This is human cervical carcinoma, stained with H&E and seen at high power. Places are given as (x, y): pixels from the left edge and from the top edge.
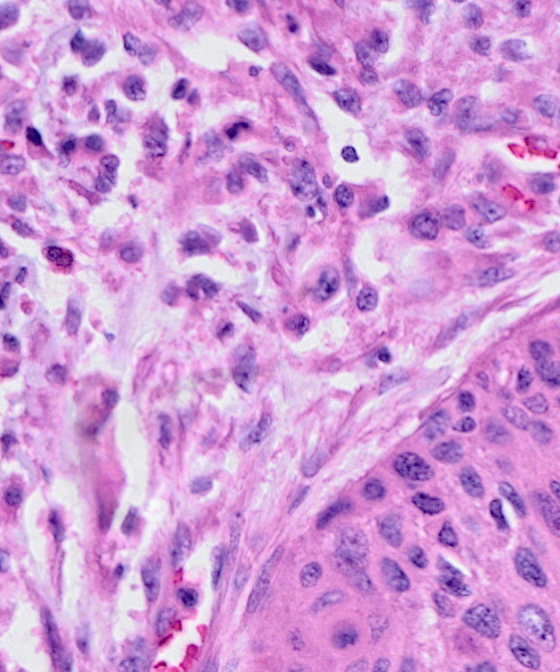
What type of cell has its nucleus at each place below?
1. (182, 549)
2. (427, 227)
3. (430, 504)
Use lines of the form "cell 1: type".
cell 1: endothelial cell
cell 2: macrophage or monocyte
cell 3: squamous carcinoma cell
